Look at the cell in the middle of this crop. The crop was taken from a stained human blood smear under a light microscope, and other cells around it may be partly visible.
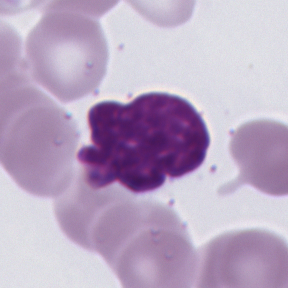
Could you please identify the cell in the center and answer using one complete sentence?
By classification, the middle cell of this crop is a smudge cell.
